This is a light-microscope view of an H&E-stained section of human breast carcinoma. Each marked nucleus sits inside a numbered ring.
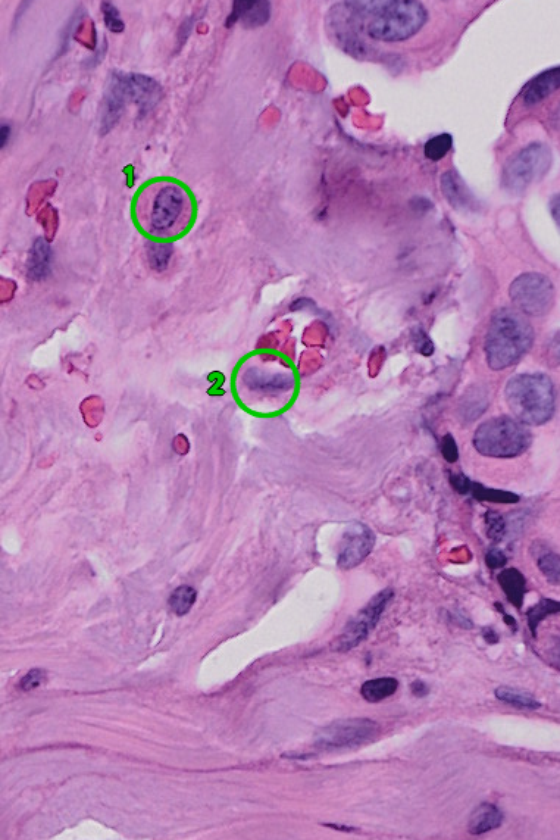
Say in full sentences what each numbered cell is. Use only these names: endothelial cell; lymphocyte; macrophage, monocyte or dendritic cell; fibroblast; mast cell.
Cell 1 is a mast cell. Cell 2 is an endothelial cell.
